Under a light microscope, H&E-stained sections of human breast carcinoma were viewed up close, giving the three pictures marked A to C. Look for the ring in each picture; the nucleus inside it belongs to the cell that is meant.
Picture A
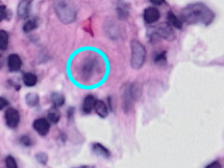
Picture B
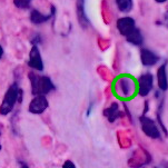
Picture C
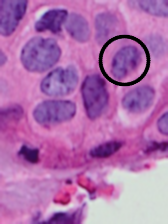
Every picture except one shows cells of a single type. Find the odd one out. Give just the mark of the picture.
C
